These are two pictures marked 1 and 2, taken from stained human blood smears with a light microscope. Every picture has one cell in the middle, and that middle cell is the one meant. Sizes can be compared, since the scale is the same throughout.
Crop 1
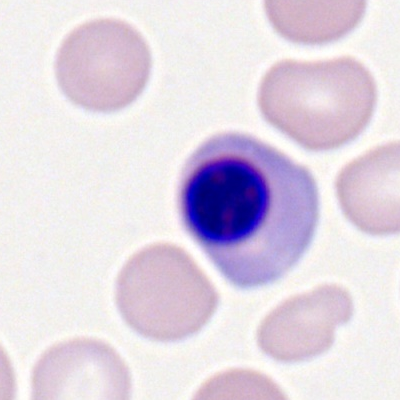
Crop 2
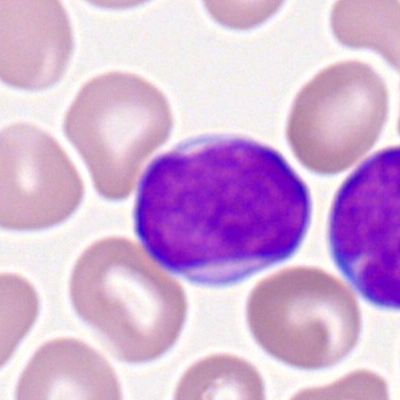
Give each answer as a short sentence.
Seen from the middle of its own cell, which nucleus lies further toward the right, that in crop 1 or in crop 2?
It is the nucleus in crop 2 that lies further toward the right of its cell.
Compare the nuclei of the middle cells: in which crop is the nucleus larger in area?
Larger is the nucleus in crop 2, at roughly 3 times the area of the other.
